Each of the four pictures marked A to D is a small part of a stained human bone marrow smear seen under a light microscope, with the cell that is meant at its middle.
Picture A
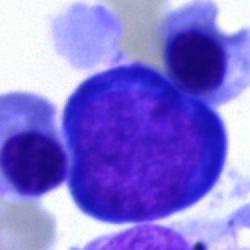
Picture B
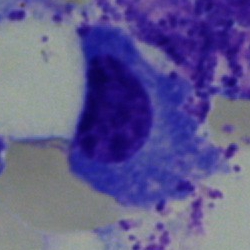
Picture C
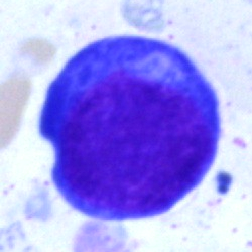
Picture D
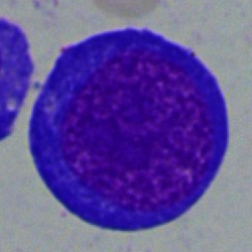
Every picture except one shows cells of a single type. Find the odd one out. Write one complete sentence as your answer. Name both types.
Picture B is the odd one out: it shows a plasma cell, while the others show proerythroblasts.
